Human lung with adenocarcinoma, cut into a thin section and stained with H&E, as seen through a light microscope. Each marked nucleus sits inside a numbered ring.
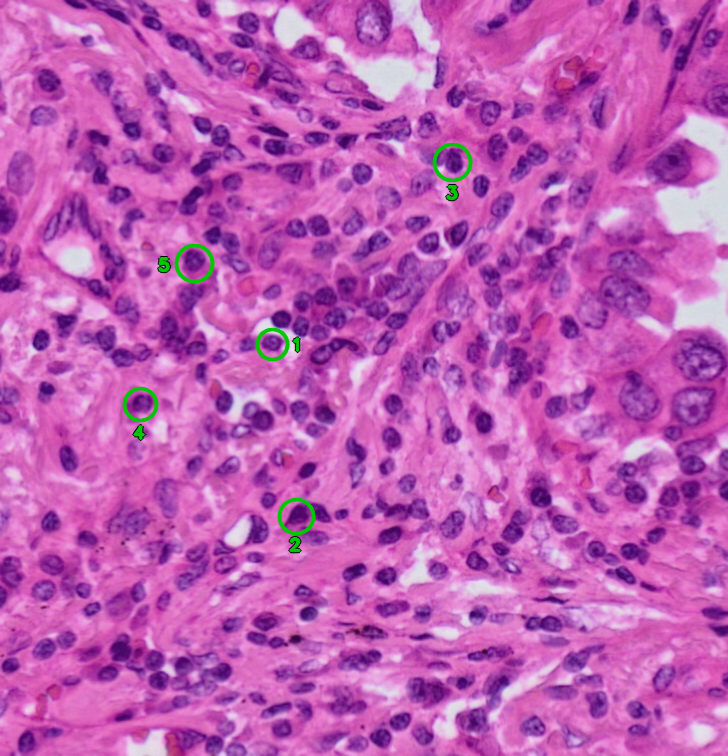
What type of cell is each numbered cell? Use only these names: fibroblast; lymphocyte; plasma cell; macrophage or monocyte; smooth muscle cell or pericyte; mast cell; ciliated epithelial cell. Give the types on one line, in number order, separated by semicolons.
lymphocyte; plasma cell; lymphocyte; plasma cell; plasma cell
